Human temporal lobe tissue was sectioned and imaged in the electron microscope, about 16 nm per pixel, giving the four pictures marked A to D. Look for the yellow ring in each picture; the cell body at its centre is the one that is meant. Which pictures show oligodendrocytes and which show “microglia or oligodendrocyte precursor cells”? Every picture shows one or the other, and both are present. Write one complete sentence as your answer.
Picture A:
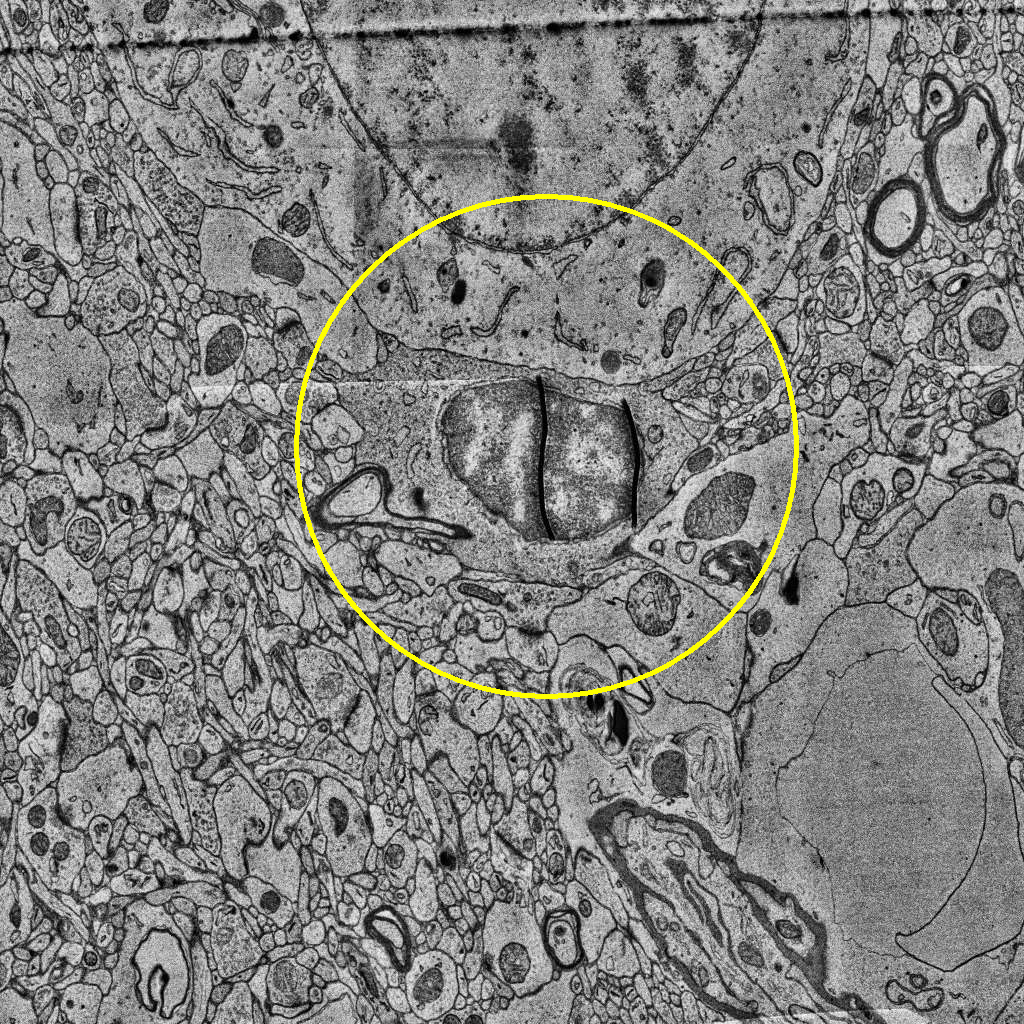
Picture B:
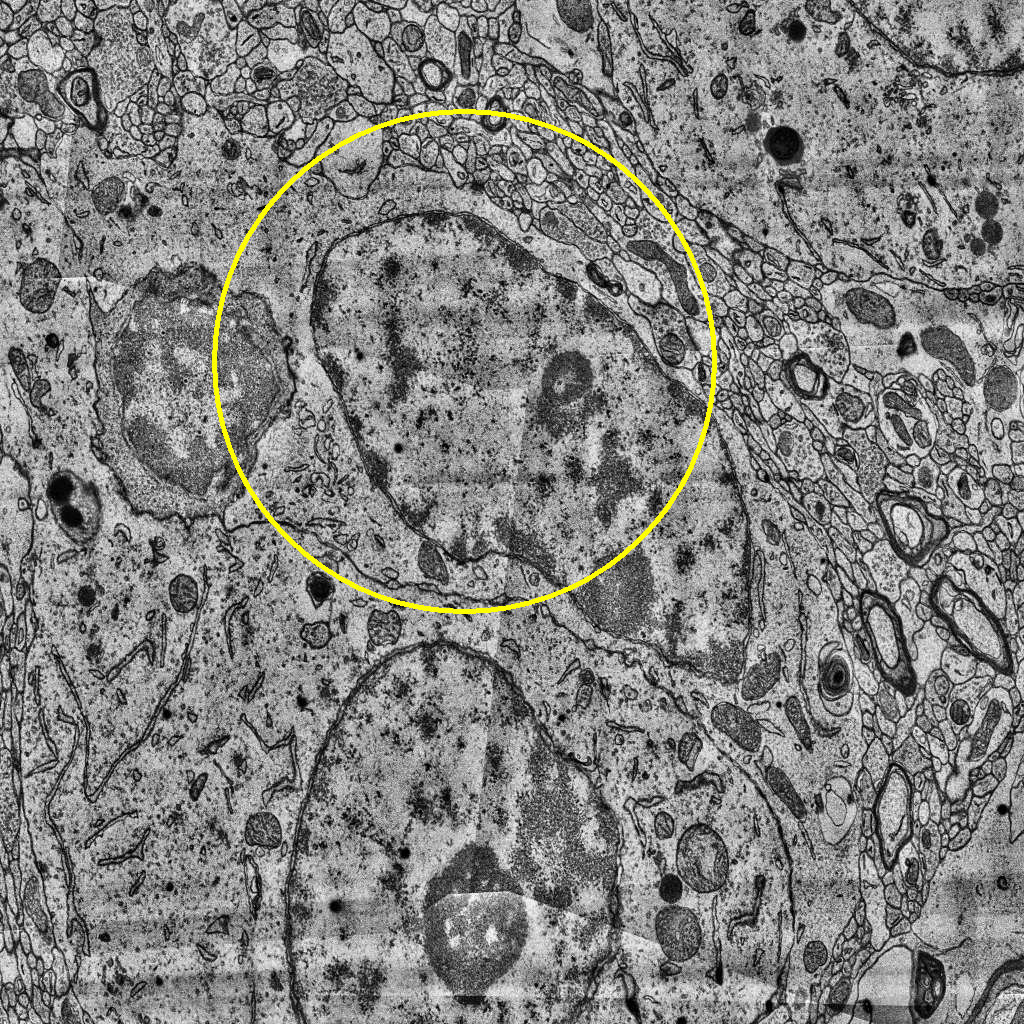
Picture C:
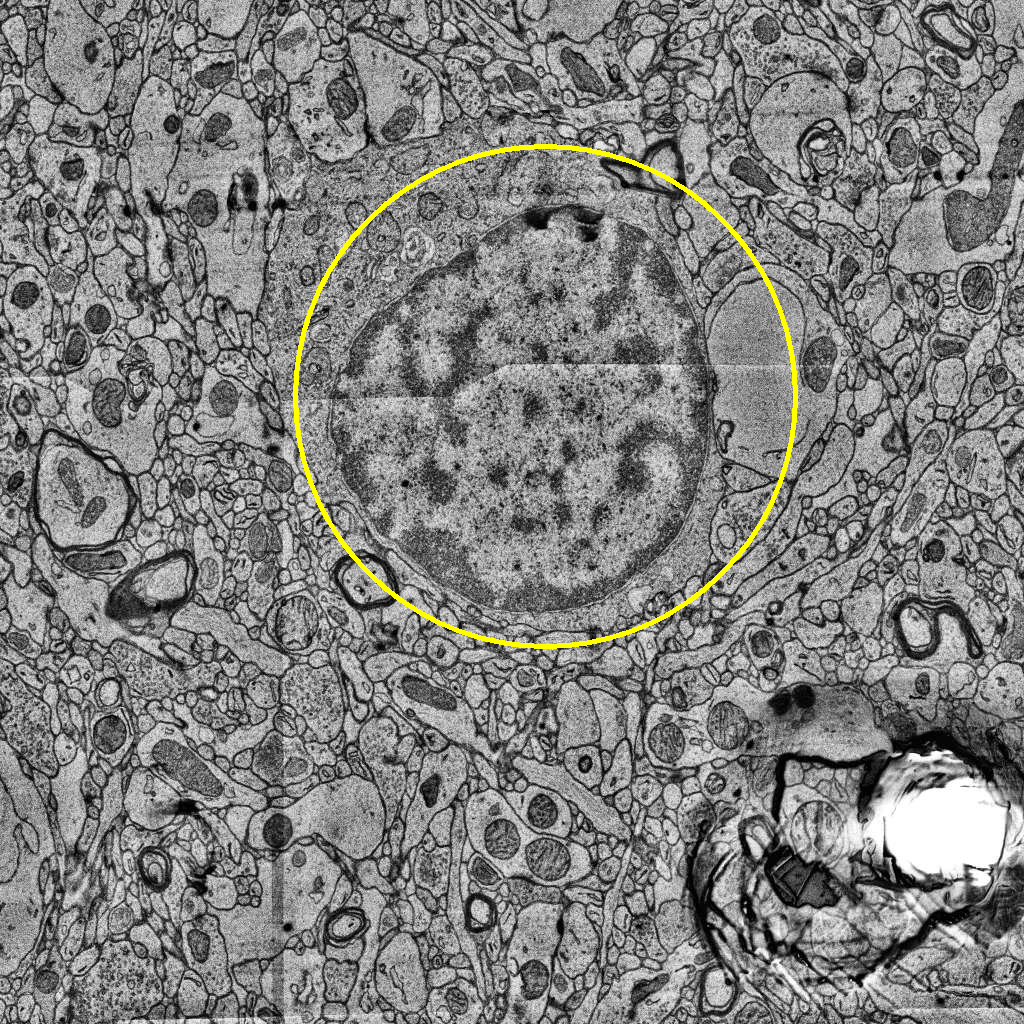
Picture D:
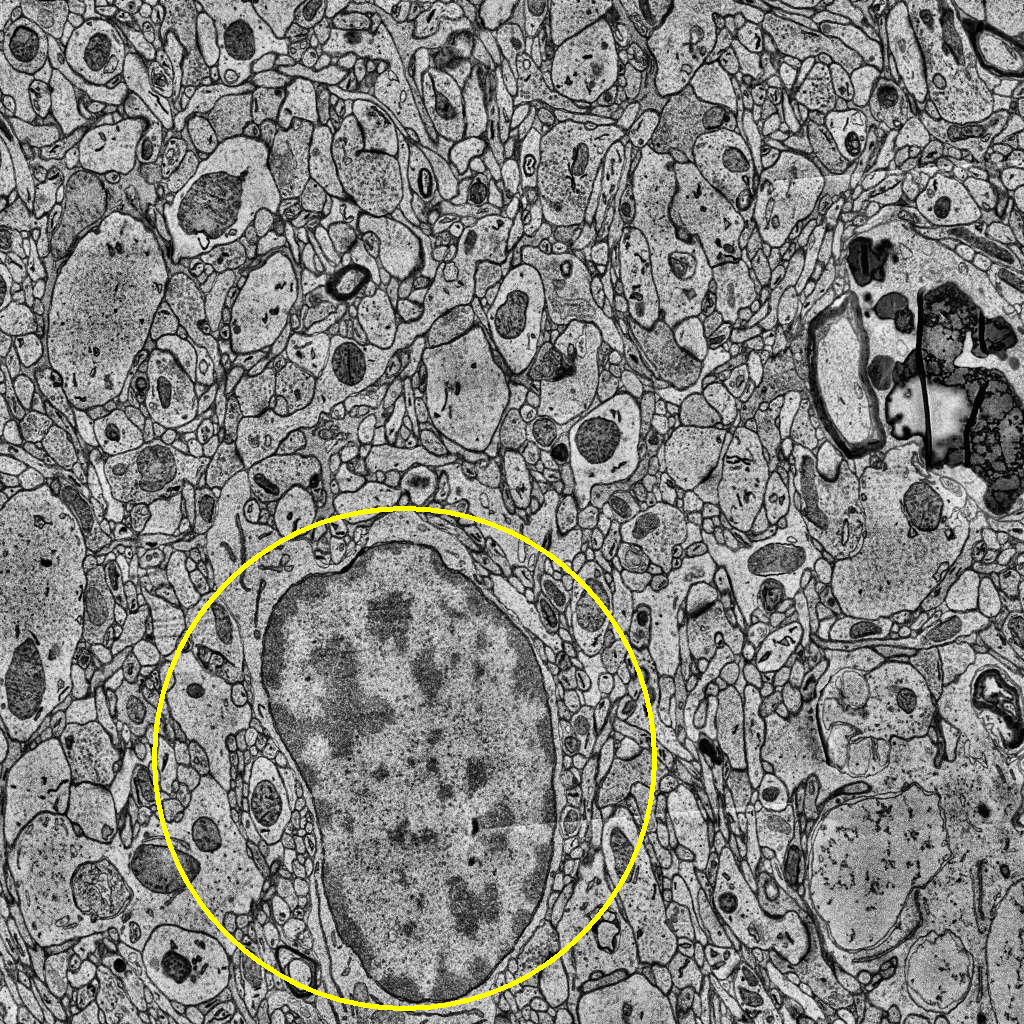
Pictures A and C show oligodendrocytes, while pictures B and D show “microglia or oligodendrocyte precursor cells”.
